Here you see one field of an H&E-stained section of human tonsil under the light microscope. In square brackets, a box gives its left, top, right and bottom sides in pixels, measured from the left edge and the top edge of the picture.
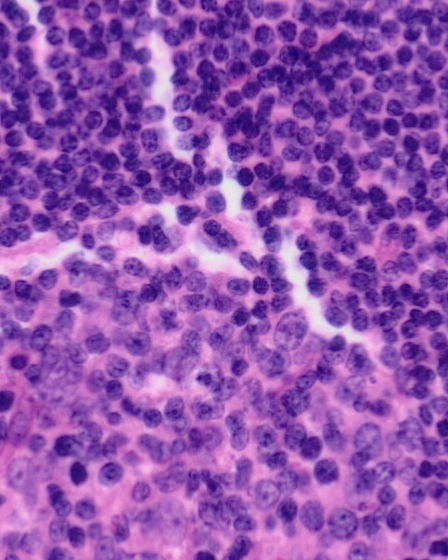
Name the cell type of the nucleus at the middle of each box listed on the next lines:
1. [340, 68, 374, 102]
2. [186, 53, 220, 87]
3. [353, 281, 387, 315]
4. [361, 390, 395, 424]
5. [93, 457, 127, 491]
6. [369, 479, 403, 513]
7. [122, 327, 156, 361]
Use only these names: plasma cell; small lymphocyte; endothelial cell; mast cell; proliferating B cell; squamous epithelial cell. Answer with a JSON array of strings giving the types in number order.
["small lymphocyte", "small lymphocyte", "small lymphocyte", "proliferating B cell", "proliferating B cell", "proliferating B cell", "proliferating B cell"]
